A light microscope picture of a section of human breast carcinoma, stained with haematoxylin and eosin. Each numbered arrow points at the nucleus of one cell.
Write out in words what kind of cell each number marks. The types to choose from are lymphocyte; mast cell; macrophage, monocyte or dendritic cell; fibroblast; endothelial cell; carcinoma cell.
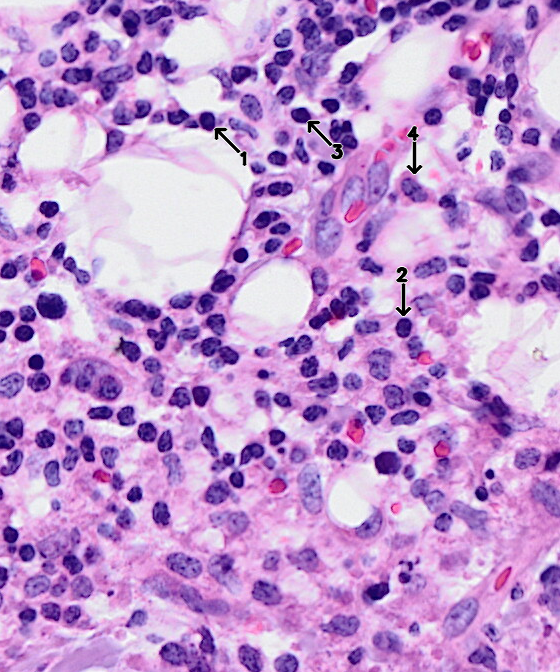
Cells 1, 2 and 3 are lymphocytes. Cell 4 is a mast cell.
